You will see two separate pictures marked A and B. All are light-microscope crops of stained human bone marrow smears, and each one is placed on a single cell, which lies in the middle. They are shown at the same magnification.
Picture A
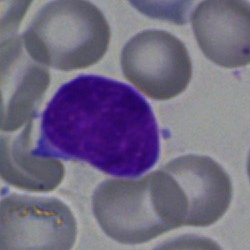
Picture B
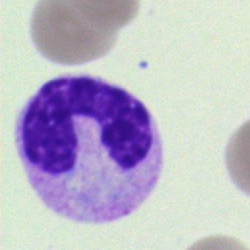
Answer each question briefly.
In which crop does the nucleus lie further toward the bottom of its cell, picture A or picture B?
A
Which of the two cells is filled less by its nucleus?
B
